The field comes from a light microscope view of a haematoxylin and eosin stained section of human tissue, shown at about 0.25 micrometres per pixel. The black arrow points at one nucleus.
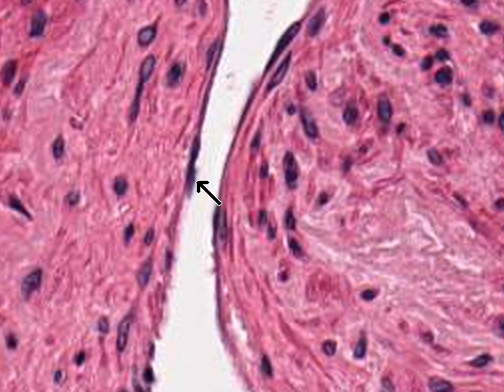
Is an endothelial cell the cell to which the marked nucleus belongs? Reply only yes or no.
yes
